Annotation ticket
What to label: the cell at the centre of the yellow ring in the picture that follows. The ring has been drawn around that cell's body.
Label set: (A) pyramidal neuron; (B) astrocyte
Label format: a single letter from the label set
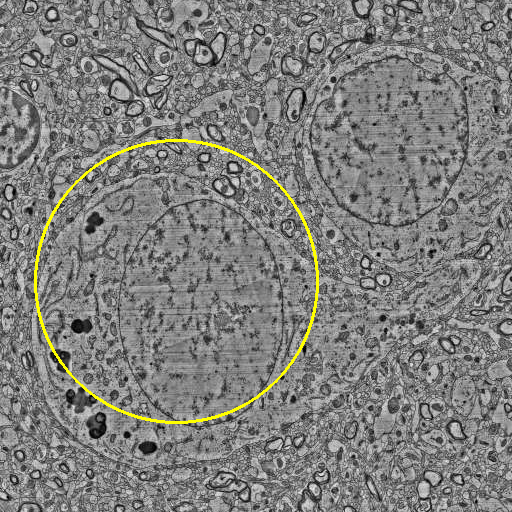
A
